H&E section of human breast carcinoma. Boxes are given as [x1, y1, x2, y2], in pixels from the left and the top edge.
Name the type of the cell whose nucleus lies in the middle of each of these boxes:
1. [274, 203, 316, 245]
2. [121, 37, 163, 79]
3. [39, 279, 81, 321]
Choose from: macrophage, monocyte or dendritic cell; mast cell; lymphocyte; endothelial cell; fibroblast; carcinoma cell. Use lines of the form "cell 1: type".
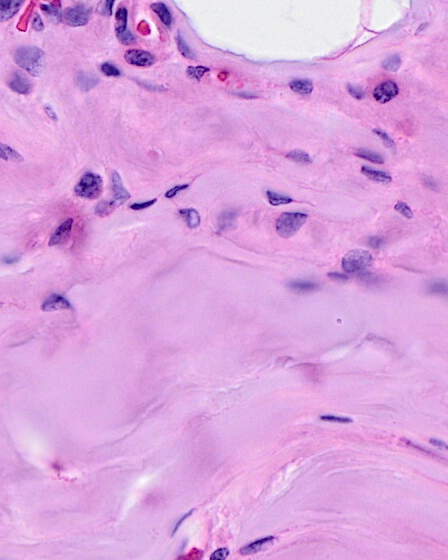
cell 1: fibroblast
cell 2: mast cell
cell 3: fibroblast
